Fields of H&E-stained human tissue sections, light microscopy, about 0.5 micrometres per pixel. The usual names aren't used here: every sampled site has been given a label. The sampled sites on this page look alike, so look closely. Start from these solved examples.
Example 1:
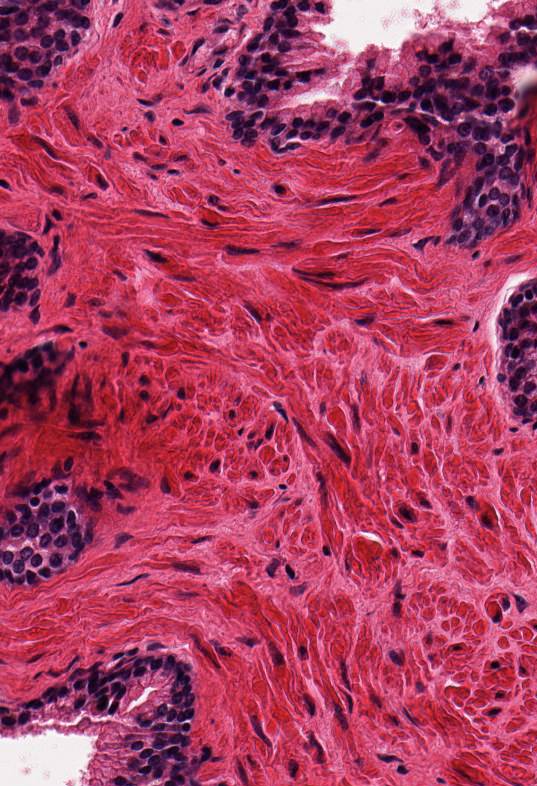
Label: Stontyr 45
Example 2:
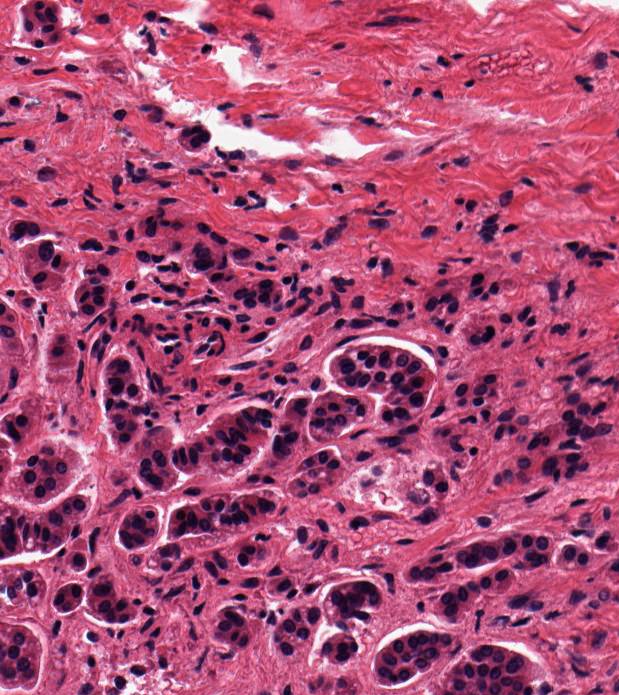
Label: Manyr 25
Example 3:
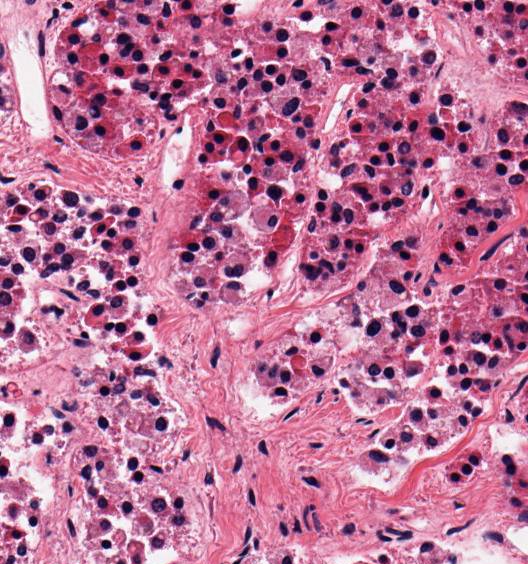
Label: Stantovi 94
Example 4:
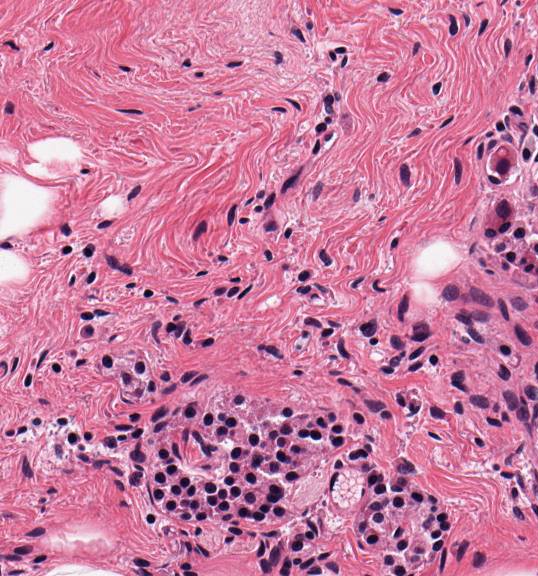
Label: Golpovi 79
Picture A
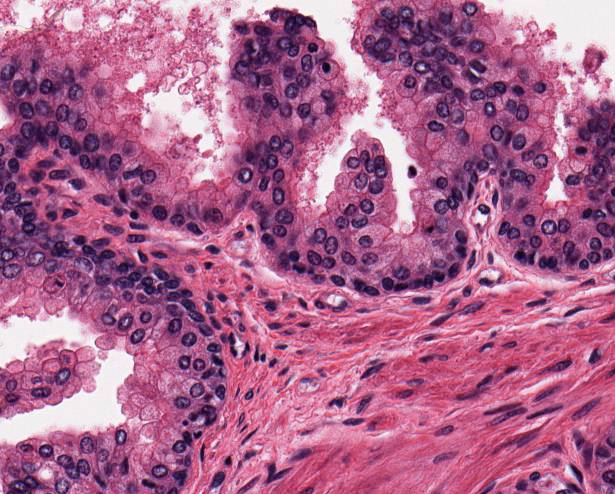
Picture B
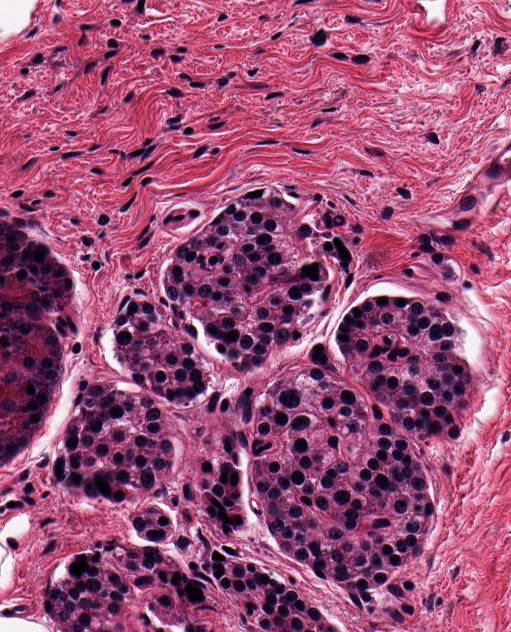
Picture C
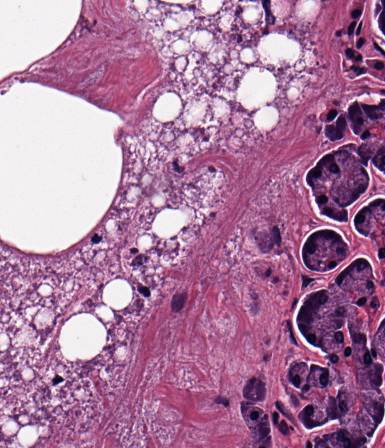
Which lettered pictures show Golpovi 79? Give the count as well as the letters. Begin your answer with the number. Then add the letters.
2: B, C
